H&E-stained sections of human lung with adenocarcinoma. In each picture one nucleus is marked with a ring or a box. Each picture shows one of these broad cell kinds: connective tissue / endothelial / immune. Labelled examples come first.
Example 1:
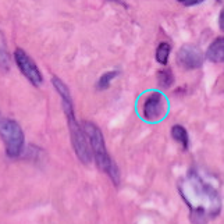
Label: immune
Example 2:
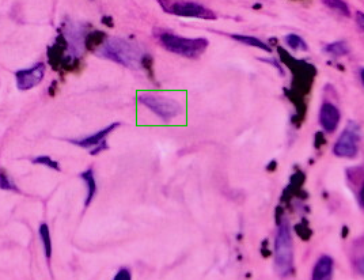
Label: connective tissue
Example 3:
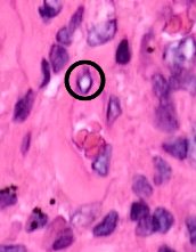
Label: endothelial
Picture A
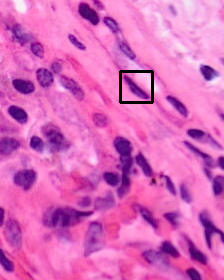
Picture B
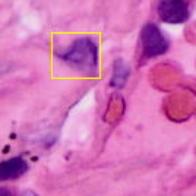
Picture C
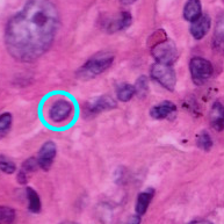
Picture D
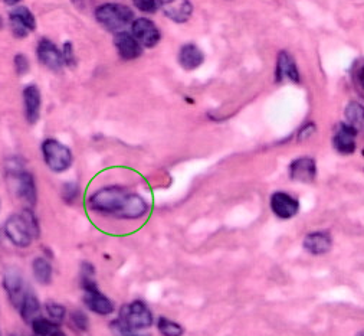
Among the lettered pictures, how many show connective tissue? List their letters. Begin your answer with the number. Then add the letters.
1, namely B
